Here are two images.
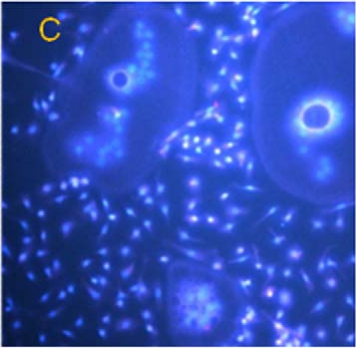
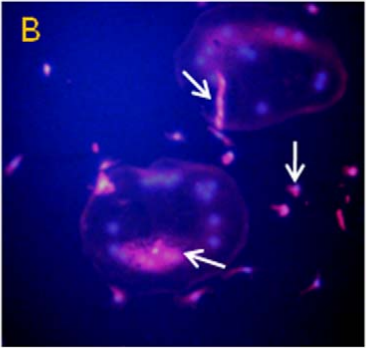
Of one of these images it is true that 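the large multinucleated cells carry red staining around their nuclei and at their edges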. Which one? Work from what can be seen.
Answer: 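First image: the giant cells are blue, without red rims or red patches. Second image: the giant cells show red-pink rims and a bright red-pink patch.
Conclusion: the second image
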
